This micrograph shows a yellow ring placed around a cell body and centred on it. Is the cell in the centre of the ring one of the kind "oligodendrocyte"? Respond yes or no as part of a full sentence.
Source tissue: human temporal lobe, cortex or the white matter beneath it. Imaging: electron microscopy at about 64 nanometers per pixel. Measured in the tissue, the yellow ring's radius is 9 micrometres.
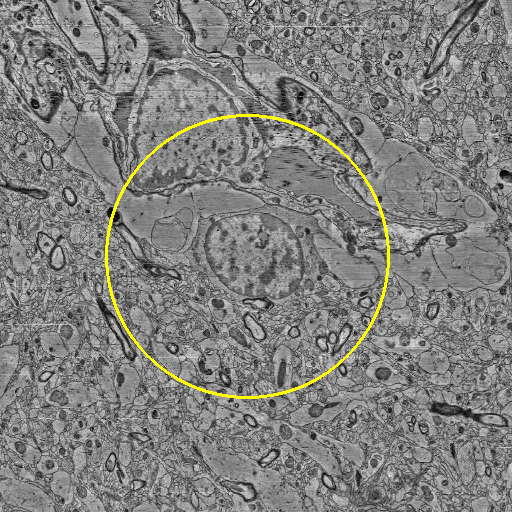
Yes, the cell in the centre of the ring within the picture is one of that kind.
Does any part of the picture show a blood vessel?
Yes, one shows.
